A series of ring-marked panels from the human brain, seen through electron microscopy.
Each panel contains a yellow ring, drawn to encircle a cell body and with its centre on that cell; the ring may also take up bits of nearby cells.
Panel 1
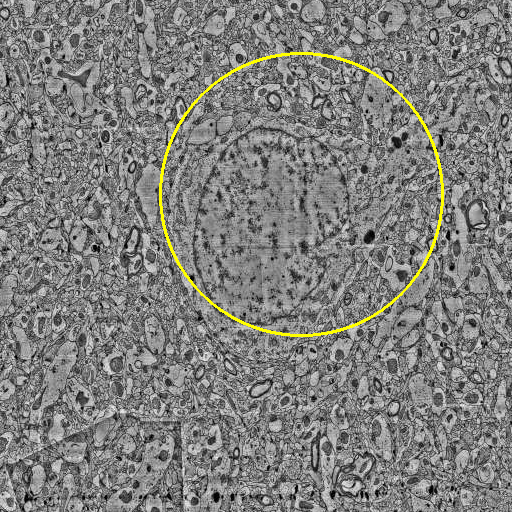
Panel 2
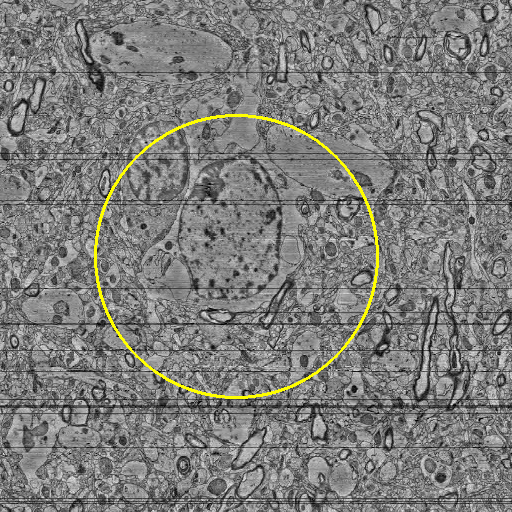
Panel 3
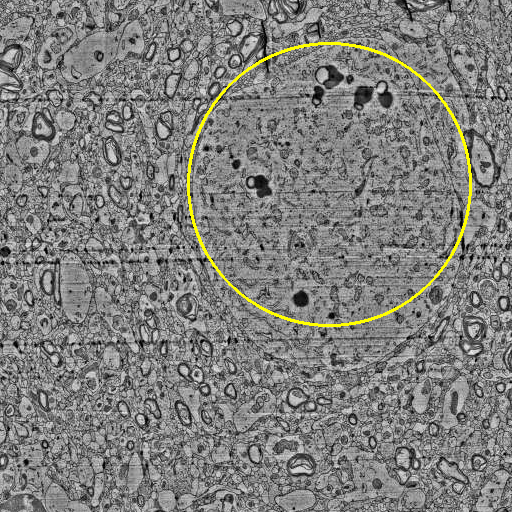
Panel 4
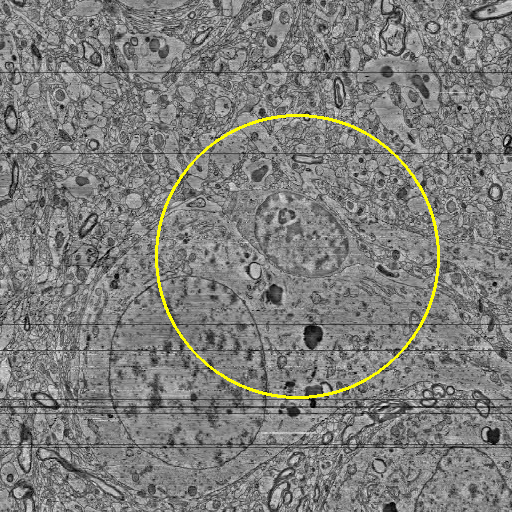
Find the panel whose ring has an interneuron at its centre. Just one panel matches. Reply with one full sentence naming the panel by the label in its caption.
The sought cell lies at the centre of the ring shown in Panel 1.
